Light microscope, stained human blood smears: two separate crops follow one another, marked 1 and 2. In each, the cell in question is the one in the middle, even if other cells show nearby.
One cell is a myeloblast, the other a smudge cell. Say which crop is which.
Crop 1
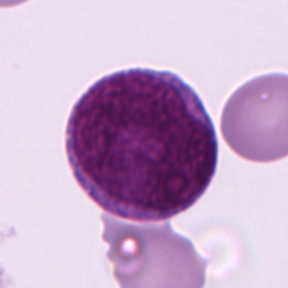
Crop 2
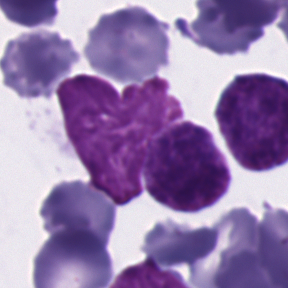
1: myeloblast
2: smudge cell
